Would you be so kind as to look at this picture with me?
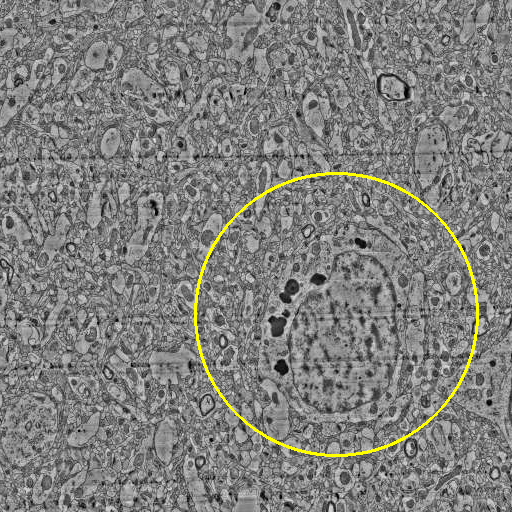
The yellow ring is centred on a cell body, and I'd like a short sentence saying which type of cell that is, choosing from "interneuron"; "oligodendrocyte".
The cell body in the ring belongs to an interneuron.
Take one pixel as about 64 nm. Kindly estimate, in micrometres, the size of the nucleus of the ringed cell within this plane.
In this plane the nucleus spans approximately 10 by 7 micrometers.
